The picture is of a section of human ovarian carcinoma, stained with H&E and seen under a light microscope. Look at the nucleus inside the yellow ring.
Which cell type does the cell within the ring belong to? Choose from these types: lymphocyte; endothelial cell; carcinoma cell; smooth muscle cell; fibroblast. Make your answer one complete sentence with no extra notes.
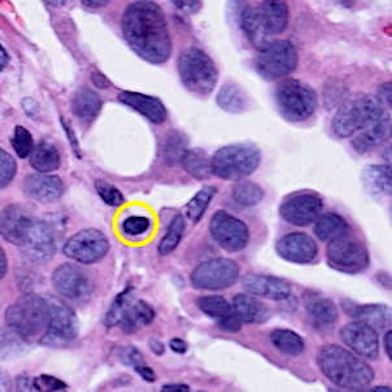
Cytologically, the cell within the ring is to be regarded as a lymphocyte.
